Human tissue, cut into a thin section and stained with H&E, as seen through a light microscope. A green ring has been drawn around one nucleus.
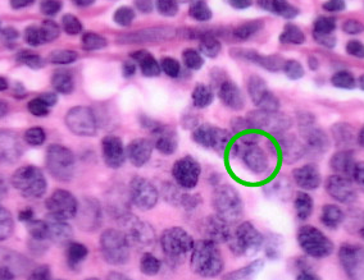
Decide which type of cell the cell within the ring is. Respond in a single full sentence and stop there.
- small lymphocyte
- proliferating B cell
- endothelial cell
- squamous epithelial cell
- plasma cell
In this preparation, the cell within the ring is a proliferating B cell.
